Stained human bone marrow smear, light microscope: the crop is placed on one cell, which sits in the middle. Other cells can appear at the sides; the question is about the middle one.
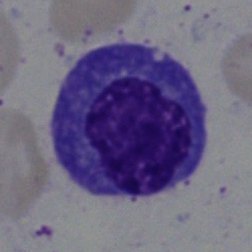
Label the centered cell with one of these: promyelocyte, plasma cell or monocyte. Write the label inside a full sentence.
For this crop, the cell in the middle is a plasma cell.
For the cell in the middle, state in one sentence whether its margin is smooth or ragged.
Its surface contour is regular and smooth, without any protrusions.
